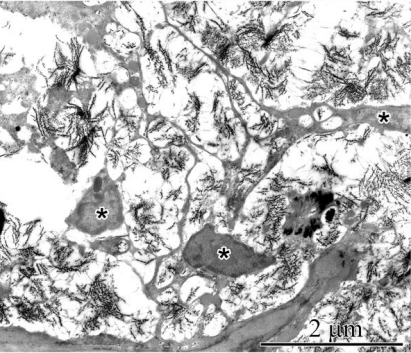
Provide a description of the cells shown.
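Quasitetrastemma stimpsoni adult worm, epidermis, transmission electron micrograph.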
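This shows the bodies of mucoid gland cells lying among pale secretory spaces. The cell bodies are small, dense grey profiles, irregular in outline, and send thin branching cytoplasmic strands between the spaces. The spaces themselves are large and pale, and are filled with dark, fibrous, feathery or star-like tufts of secretion. The strands form a delicate network that divides the secretion into compartments. Toward the bottom a broader band of dense cytoplasm runs across the field.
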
